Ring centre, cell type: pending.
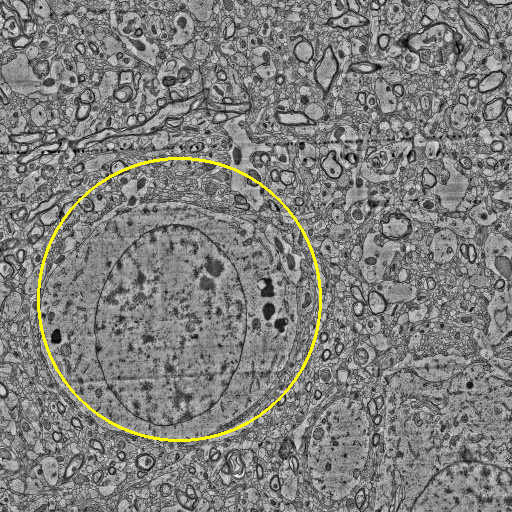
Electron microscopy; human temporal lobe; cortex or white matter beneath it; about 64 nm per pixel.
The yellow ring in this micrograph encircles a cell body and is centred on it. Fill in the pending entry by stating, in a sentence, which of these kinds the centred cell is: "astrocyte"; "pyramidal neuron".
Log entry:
The centred cell is recorded as a pyramidal neuron.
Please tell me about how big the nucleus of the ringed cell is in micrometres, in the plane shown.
In this plane the nucleus spans approximately 13 by 10 micrometers.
